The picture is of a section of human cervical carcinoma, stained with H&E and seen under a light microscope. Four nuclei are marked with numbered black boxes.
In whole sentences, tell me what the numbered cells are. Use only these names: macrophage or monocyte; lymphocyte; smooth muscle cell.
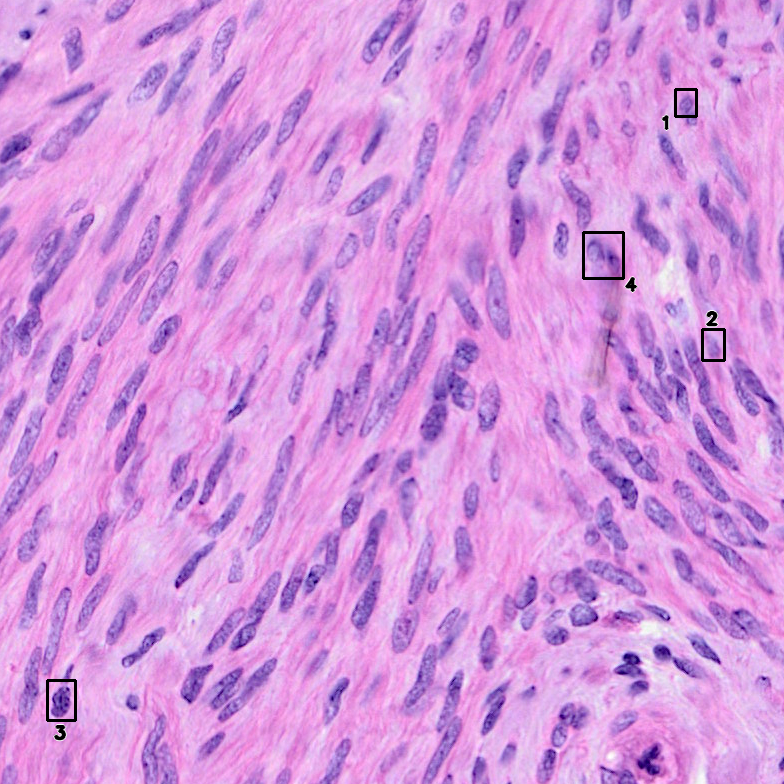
Cell 1 is a smooth muscle cell, cell 2 is a smooth muscle cell, cell 3 is a lymphocyte and cell 4 is a smooth muscle cell.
